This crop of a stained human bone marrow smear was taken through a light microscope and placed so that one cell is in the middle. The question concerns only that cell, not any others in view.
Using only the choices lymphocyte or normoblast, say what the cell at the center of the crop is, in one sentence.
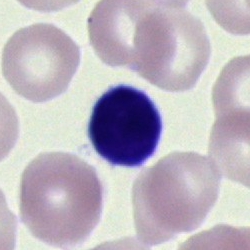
The middle position in this crop is taken by a lymphocyte.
